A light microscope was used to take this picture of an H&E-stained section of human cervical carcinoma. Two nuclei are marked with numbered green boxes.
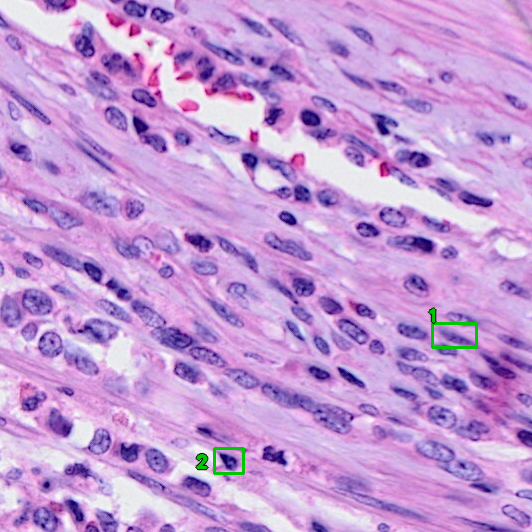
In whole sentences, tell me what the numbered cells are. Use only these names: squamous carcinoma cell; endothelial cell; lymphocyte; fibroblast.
Cell 1 is a fibroblast. Cell 2 is a lymphocyte.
